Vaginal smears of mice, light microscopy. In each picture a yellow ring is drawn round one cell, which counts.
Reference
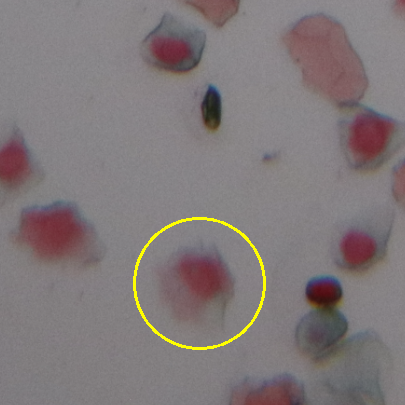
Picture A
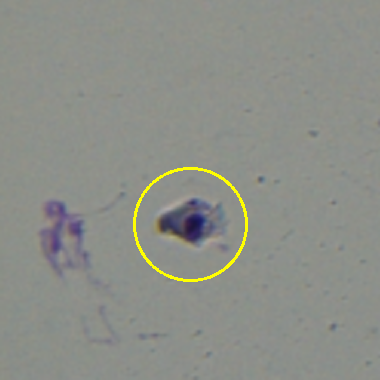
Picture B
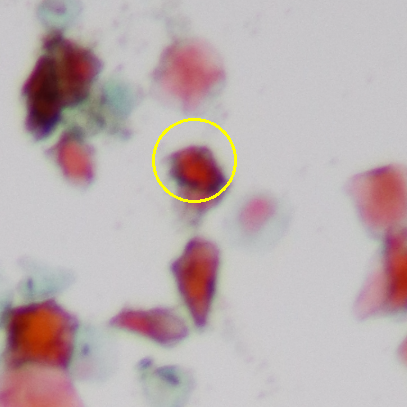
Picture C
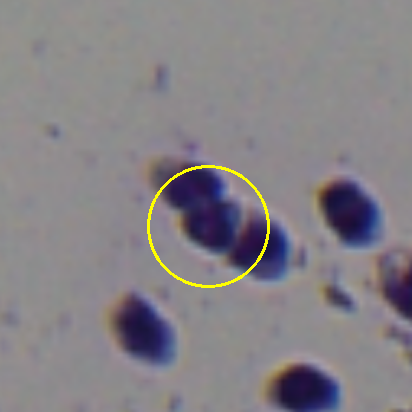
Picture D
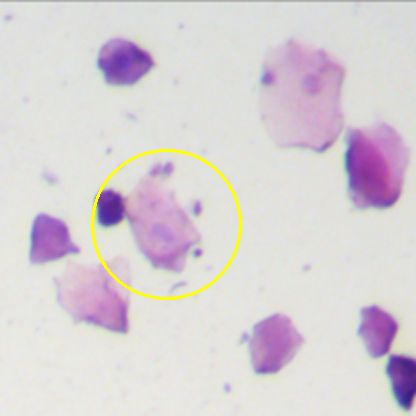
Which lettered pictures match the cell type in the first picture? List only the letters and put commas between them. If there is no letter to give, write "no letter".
A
